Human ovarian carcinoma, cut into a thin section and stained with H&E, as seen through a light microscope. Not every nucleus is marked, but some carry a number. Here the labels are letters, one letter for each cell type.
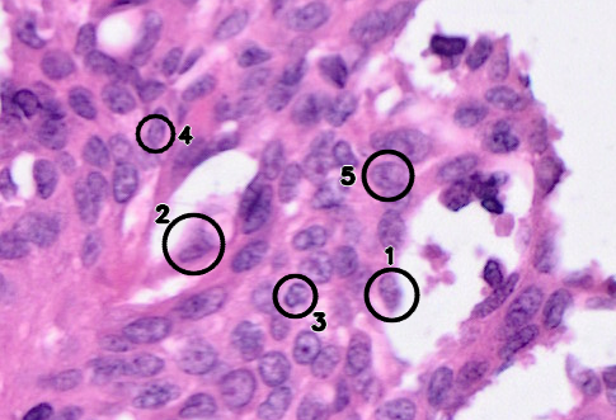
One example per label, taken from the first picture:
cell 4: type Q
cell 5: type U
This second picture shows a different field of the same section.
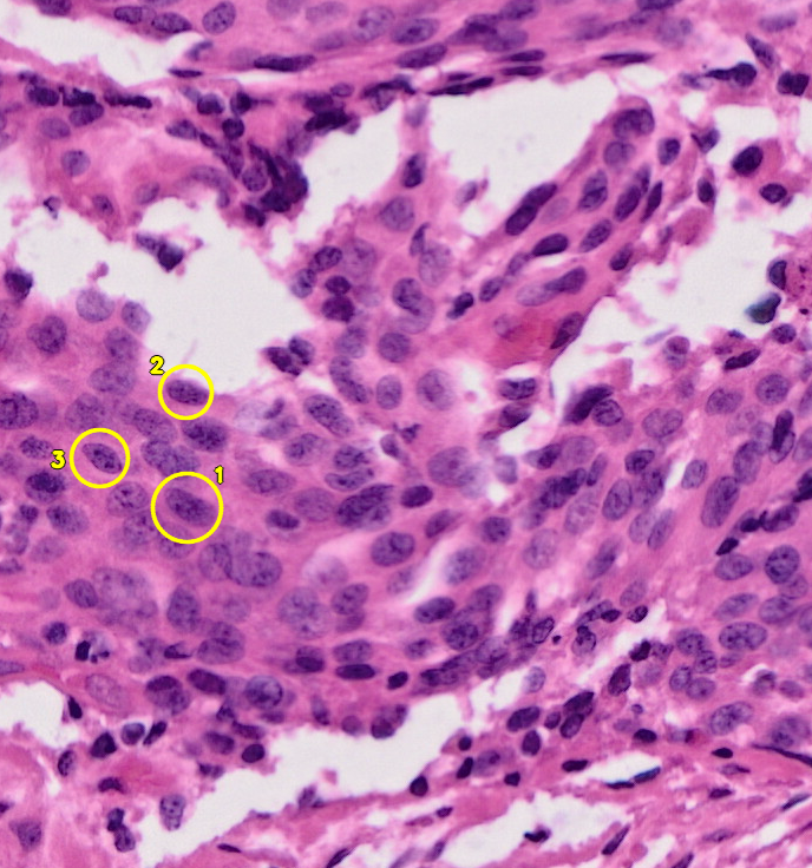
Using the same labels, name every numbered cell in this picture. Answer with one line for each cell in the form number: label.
1: type U
2: type U
3: type Q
